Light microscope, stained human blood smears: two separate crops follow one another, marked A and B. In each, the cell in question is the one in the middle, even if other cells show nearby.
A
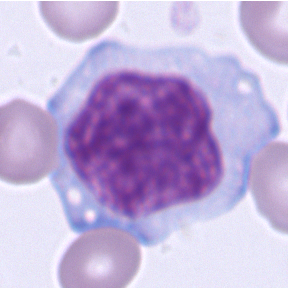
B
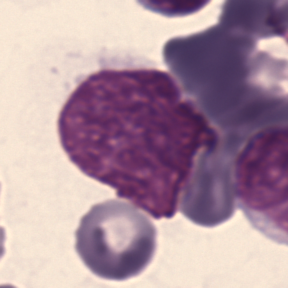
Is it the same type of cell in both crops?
no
